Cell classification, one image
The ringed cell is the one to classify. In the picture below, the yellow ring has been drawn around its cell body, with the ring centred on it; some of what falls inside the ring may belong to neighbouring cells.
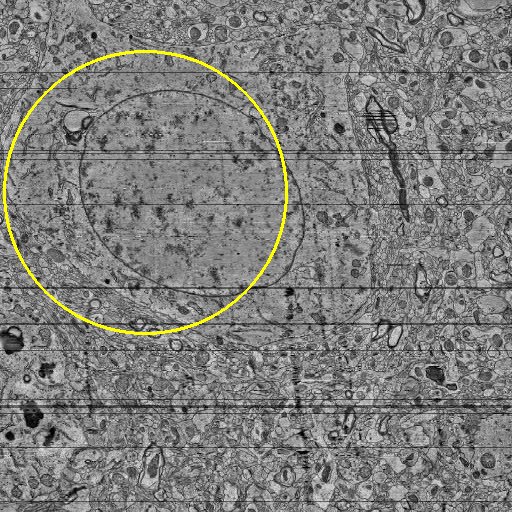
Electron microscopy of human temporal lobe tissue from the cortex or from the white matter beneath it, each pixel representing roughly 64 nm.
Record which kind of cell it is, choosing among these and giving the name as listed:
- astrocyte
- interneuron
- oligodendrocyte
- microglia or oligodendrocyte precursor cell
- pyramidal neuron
pyramidal neuron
